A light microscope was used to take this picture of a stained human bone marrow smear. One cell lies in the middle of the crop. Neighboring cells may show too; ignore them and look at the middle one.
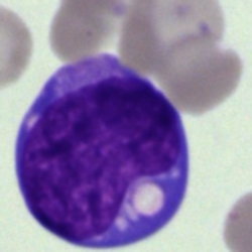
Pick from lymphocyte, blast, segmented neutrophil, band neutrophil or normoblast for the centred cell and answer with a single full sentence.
What the crop centres on is a blast.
